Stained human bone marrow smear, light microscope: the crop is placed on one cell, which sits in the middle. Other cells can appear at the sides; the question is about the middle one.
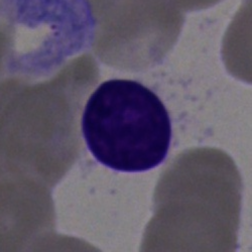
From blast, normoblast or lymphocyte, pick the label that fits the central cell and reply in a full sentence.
The cell that lies at the centre of the crop is a lymphocyte.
